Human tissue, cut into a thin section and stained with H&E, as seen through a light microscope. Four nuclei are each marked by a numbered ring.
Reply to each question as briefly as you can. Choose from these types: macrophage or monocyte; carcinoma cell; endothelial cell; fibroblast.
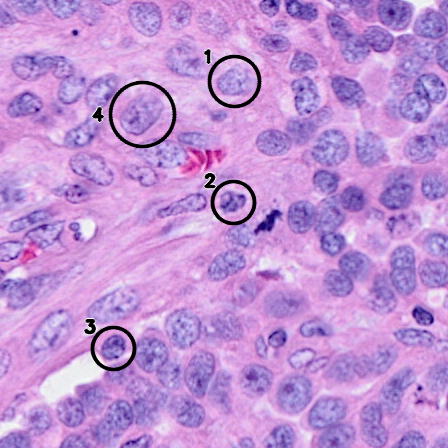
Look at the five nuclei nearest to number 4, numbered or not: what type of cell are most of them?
endothelial cell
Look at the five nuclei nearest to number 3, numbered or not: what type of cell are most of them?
carcinoma cell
